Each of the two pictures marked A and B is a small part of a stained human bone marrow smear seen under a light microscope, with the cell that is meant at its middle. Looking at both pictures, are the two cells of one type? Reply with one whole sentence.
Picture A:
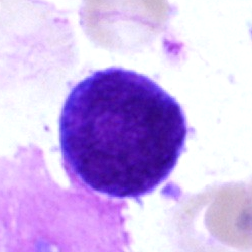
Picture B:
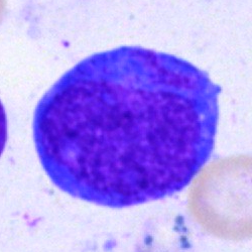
No; the cell in picture A is a blast, while the one in picture B is a promyelocyte.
